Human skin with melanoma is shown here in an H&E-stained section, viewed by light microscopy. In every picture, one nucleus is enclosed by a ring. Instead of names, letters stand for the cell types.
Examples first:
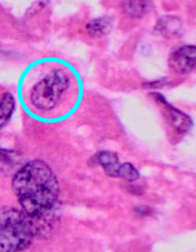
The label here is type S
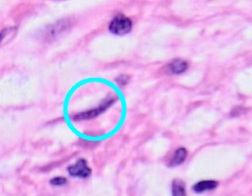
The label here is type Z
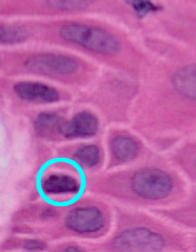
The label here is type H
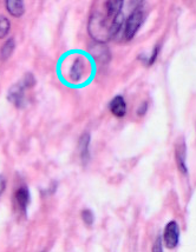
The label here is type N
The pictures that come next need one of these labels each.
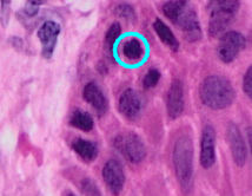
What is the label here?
type H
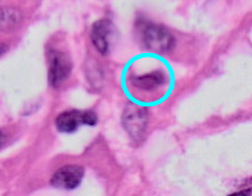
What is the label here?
type S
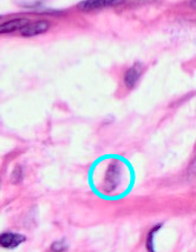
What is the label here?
type Z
